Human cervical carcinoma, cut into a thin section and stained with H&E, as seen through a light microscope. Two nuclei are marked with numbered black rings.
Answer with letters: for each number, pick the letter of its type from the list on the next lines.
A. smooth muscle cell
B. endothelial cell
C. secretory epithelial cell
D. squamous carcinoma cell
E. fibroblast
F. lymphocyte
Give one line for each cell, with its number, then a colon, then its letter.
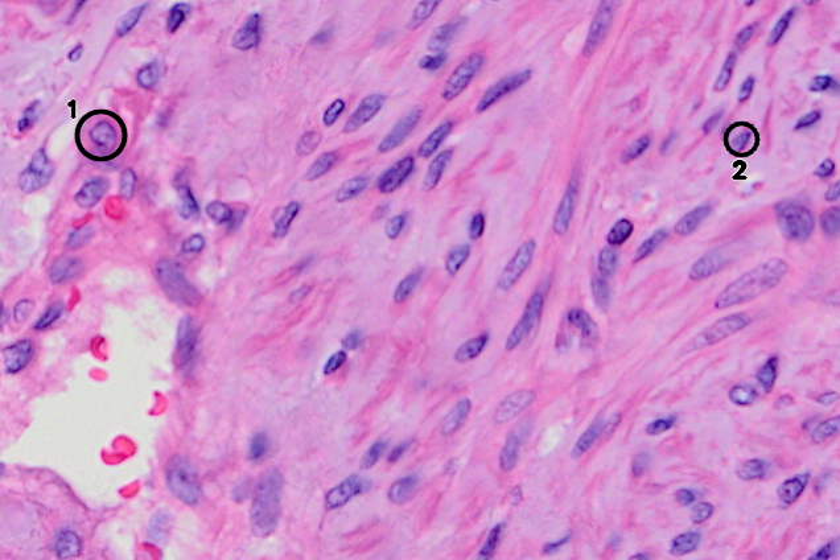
1: B
2: A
